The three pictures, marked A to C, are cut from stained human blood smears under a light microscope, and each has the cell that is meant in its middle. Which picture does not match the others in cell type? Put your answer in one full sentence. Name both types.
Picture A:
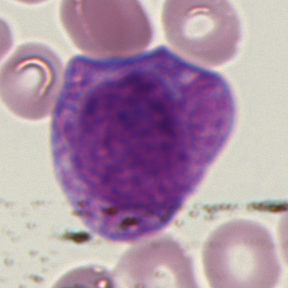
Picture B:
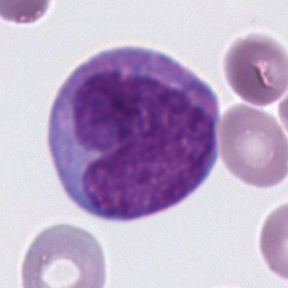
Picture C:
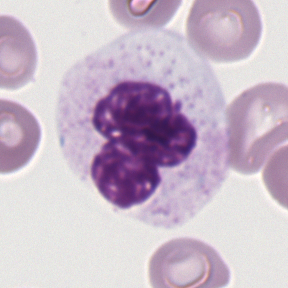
Picture C is the odd one out: it shows a segmented neutrophil, while the others show atypical promyelocytes.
